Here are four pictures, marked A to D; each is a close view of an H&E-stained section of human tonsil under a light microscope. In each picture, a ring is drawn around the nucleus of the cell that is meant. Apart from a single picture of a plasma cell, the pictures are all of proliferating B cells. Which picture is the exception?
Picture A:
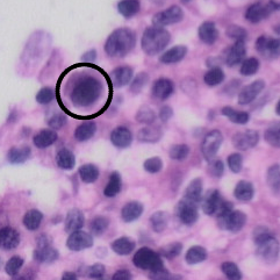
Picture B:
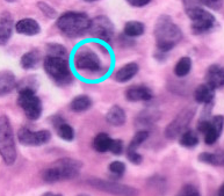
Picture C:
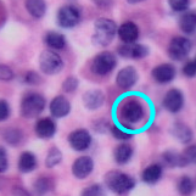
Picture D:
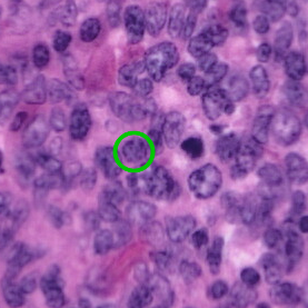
C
